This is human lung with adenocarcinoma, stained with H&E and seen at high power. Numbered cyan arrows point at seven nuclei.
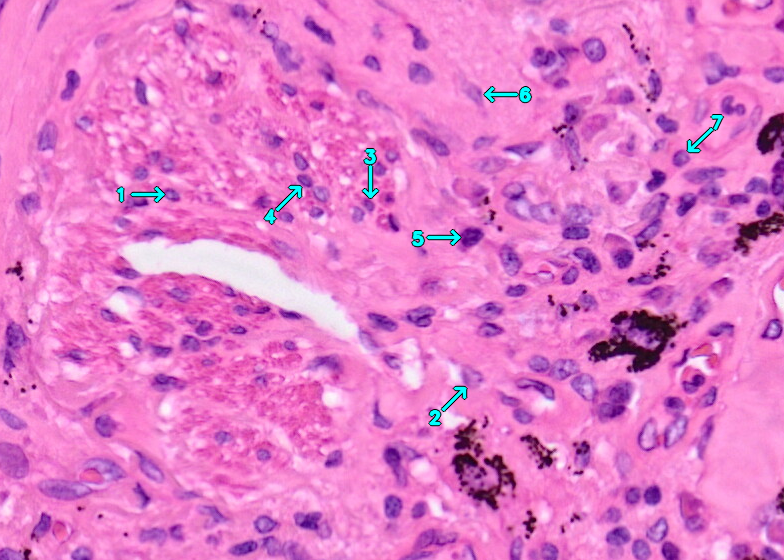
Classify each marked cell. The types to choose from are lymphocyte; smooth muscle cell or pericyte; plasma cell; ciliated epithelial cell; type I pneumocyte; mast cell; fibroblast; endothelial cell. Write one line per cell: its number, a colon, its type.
1: smooth muscle cell or pericyte
2: fibroblast
3: smooth muscle cell or pericyte
4: smooth muscle cell or pericyte
5: plasma cell
6: fibroblast
7: mast cell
